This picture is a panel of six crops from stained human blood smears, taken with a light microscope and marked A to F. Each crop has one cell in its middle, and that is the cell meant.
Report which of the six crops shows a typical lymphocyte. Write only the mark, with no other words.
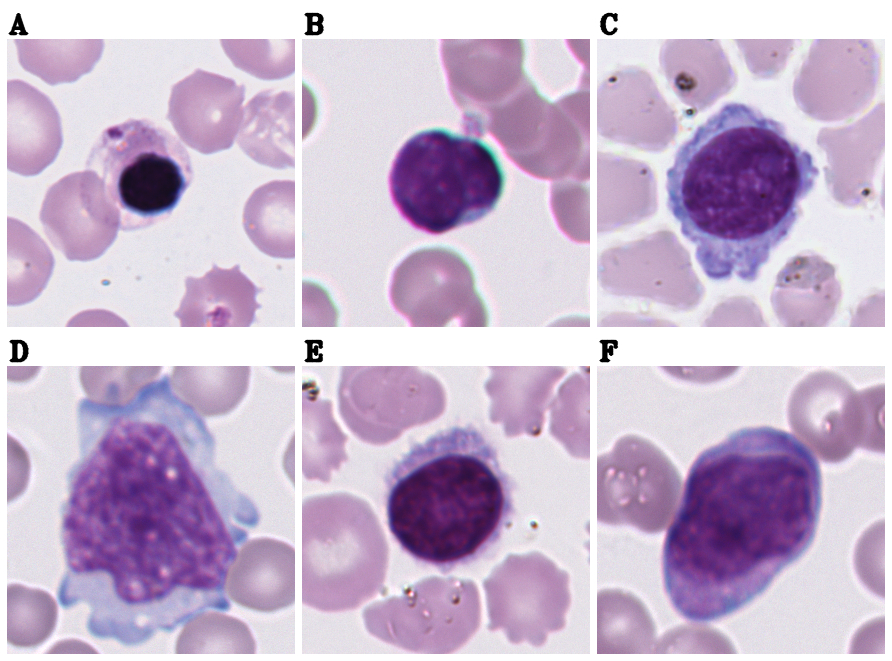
B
